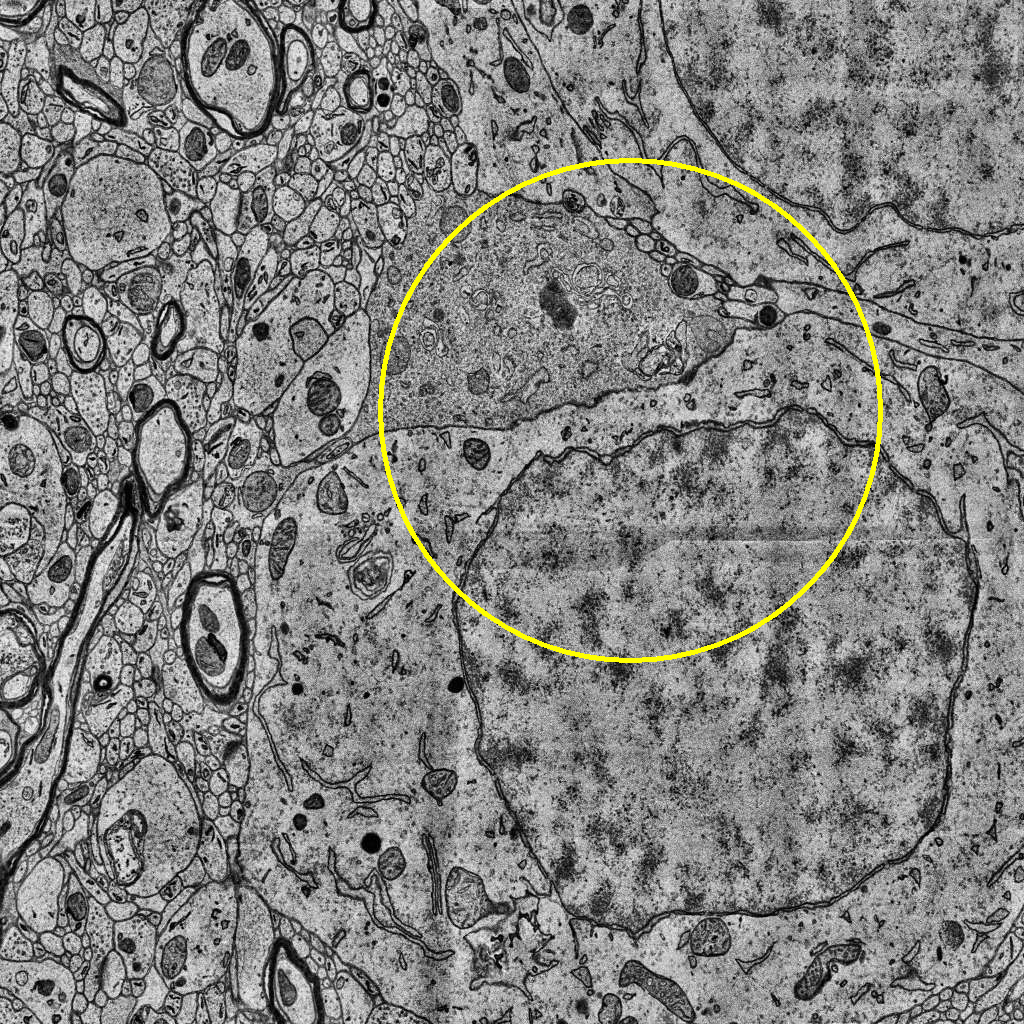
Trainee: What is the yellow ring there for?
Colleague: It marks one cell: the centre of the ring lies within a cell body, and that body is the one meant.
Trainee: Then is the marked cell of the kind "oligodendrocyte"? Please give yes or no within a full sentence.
Yes, the marked cell at the centre of the yellow ring is of the kind asked about.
